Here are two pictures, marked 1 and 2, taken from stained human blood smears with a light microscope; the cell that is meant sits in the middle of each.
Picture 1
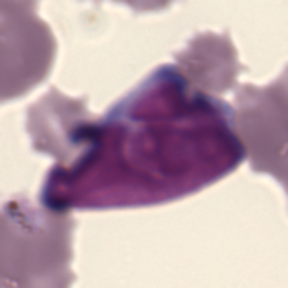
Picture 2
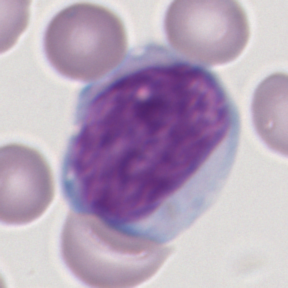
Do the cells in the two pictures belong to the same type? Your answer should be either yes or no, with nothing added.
yes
